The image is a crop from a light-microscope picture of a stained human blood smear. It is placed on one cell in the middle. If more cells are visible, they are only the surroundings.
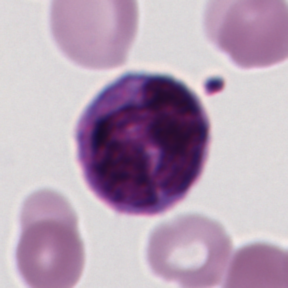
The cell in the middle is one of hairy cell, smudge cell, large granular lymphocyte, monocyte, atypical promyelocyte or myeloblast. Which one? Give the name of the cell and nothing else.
monocyte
